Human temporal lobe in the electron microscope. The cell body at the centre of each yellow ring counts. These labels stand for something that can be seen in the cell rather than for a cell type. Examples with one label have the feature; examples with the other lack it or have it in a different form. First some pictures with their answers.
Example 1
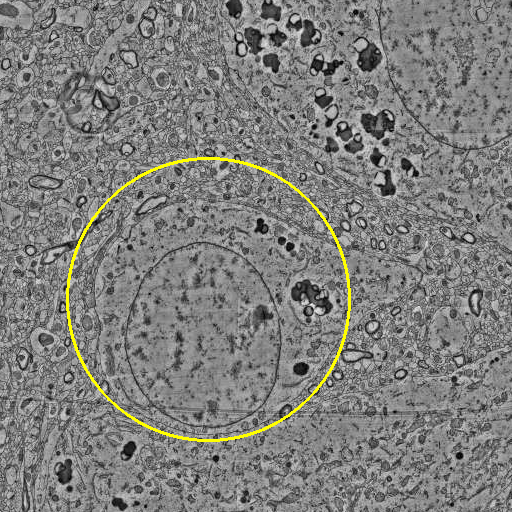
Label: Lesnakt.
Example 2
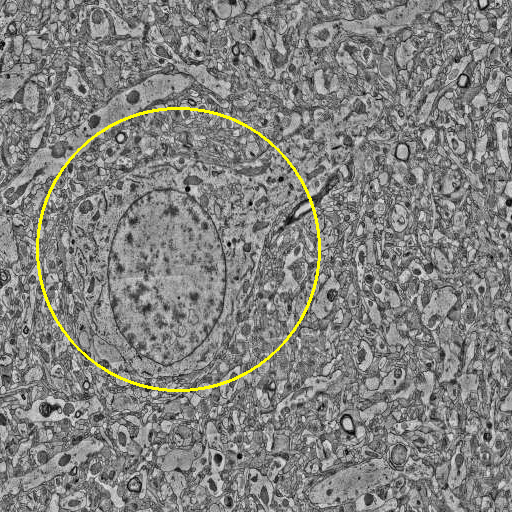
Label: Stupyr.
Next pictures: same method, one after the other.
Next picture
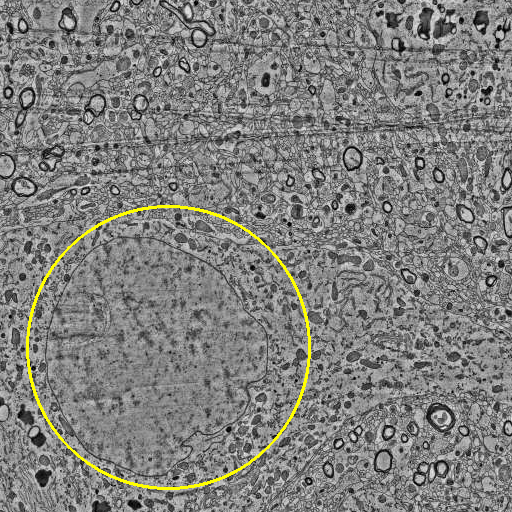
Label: Stupyr.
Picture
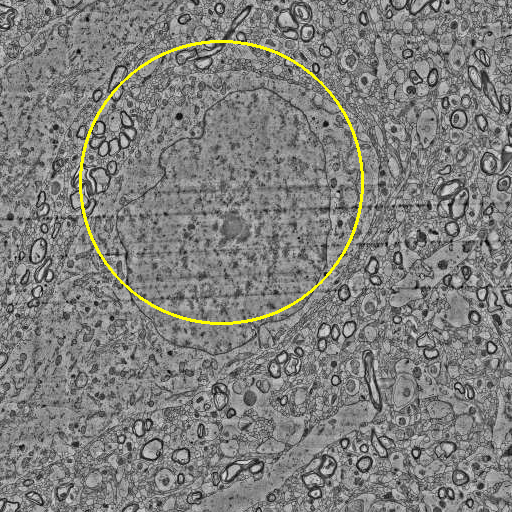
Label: Lesnakt.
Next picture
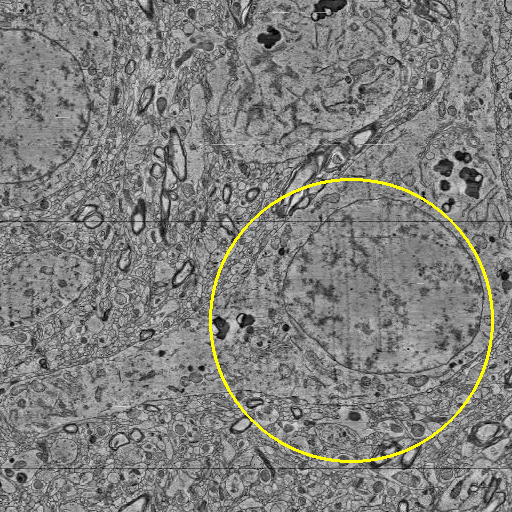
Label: Stupyr.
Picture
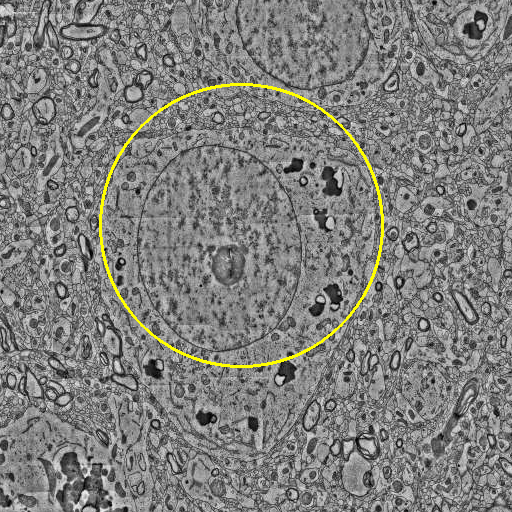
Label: Lesnakt.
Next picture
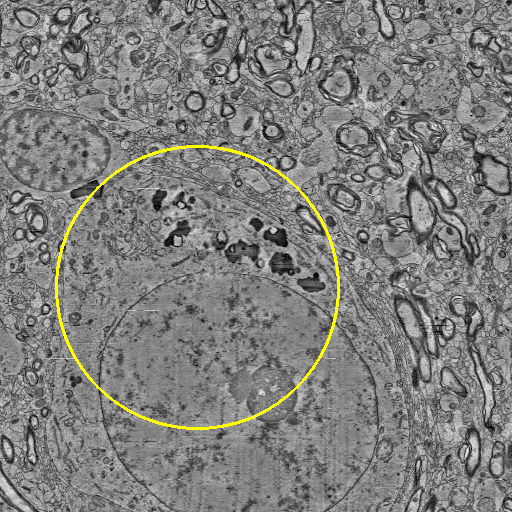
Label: Lesnakt.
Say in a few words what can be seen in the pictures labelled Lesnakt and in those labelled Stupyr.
Seen in Lesnakt: nucleolus seen; seen in Stupyr: no nucleolus seen.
